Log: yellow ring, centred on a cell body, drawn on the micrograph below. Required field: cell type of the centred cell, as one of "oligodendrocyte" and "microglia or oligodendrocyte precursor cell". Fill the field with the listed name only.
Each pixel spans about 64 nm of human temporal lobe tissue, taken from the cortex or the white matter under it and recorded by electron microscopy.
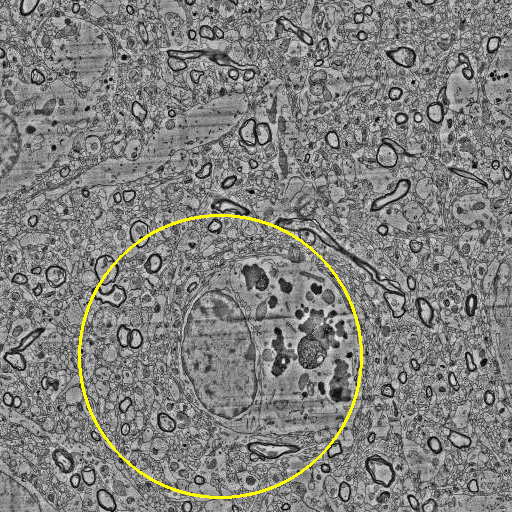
microglia or oligodendrocyte precursor cell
